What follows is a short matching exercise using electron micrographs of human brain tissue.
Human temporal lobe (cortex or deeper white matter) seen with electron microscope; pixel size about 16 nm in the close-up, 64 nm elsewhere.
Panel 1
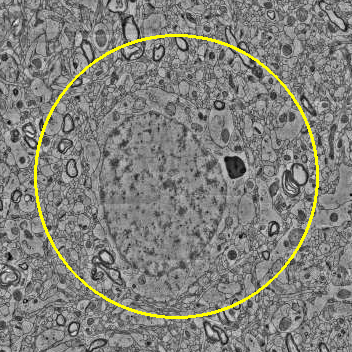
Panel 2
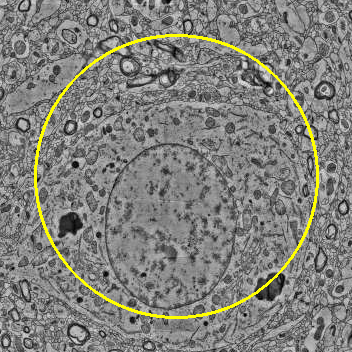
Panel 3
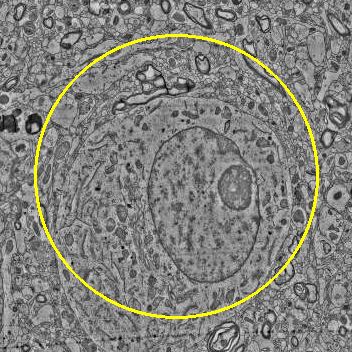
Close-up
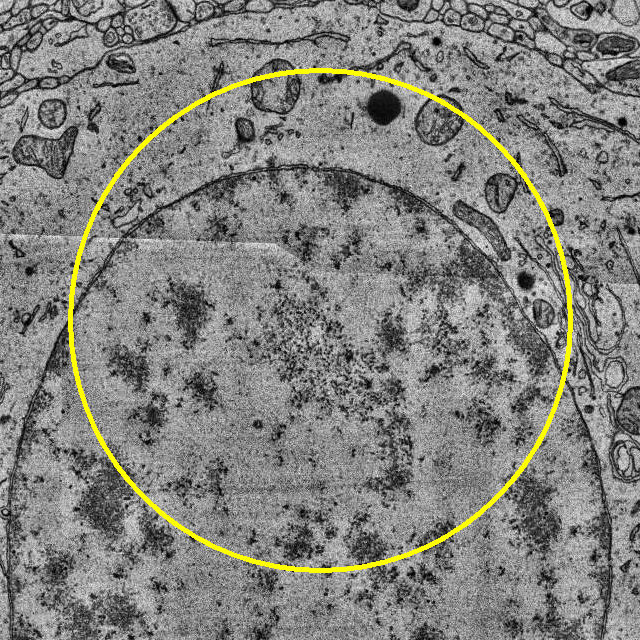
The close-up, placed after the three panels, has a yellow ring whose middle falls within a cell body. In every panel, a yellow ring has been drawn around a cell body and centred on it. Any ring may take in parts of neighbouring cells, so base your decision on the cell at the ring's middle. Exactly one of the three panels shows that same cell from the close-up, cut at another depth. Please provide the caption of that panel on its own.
Panel 2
